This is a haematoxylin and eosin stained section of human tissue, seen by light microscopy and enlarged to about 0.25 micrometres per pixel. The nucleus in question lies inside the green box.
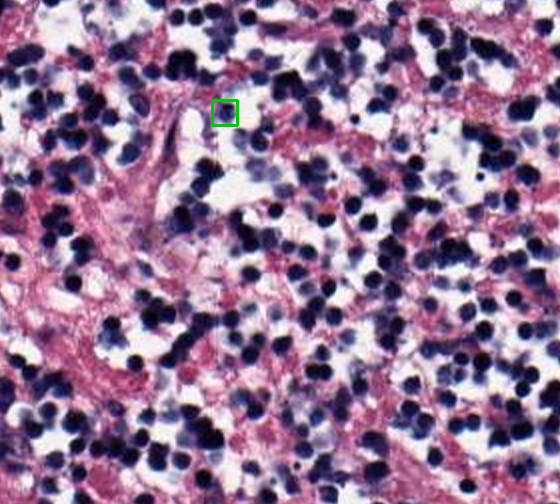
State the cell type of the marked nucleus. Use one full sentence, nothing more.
The marked nucleus here is the nucleus of a cerebellar granule cell.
